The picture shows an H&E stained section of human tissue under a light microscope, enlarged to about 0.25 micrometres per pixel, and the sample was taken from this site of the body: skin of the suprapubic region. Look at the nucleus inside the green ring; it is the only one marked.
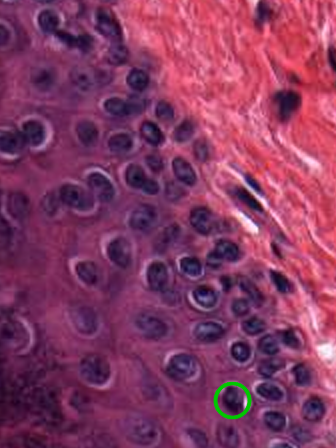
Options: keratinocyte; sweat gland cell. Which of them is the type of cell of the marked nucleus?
keratinocyte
